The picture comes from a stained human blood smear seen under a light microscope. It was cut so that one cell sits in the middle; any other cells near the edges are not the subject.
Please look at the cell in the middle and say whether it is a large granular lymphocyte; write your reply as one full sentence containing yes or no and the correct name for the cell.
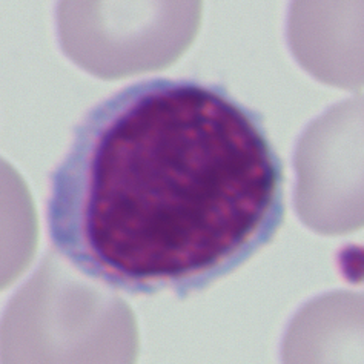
No, the centre cell counts as a typical lymphocyte, not as a large granular lymphocyte.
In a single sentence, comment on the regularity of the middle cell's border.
This cell does not have a smooth edge; it is ragged or extended into projections.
